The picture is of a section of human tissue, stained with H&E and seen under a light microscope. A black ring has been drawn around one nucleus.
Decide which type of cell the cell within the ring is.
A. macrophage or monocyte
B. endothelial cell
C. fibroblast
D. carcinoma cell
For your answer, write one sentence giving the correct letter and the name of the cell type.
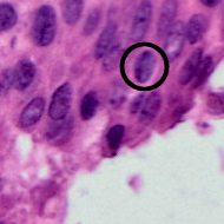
Of all the options, A is right, since the cell within the ring is a macrophage or monocyte.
